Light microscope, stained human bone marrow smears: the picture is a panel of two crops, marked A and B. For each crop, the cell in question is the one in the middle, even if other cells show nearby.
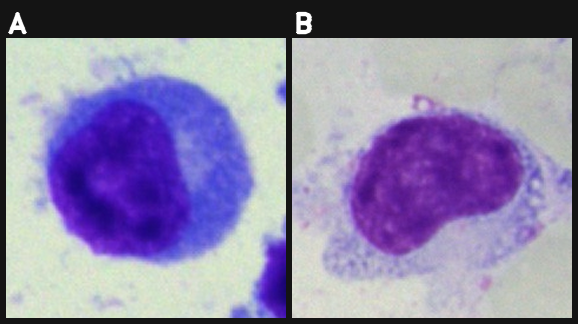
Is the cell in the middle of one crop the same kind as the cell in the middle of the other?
no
